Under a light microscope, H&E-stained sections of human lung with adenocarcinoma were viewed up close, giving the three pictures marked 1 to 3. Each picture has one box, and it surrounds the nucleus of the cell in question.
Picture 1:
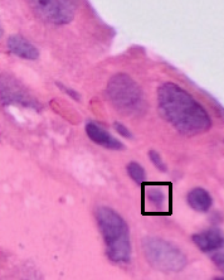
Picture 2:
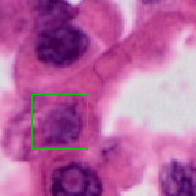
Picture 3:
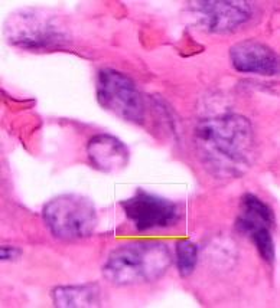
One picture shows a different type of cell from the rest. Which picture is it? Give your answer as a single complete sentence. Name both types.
All pictures except 1 show carcinoma cells; picture 1 shows a lymphocyte.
